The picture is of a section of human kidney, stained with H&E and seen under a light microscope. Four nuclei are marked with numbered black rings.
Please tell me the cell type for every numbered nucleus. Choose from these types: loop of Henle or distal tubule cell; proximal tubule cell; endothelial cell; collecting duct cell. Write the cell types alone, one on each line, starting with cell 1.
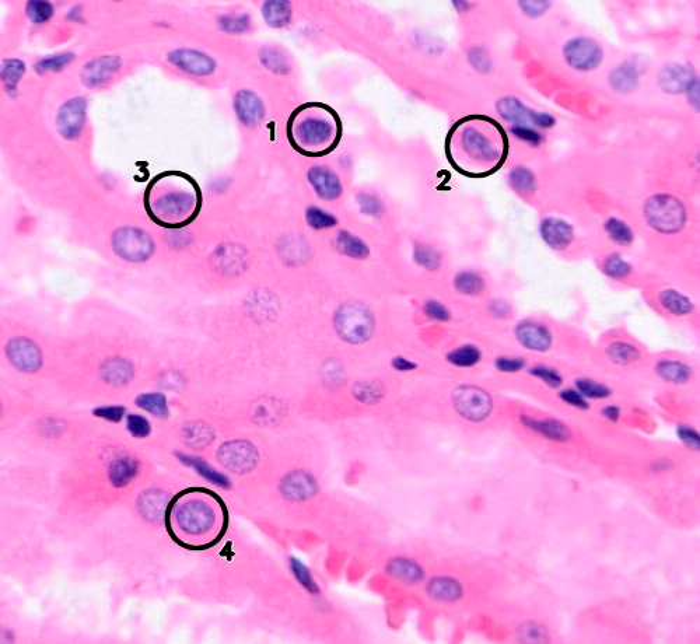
loop of Henle or distal tubule cell
loop of Henle or distal tubule cell
loop of Henle or distal tubule cell
proximal tubule cell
